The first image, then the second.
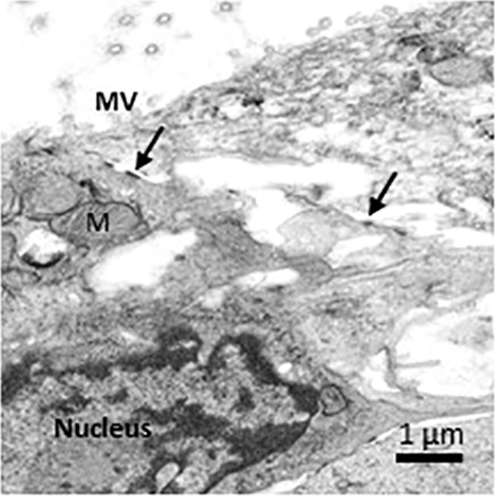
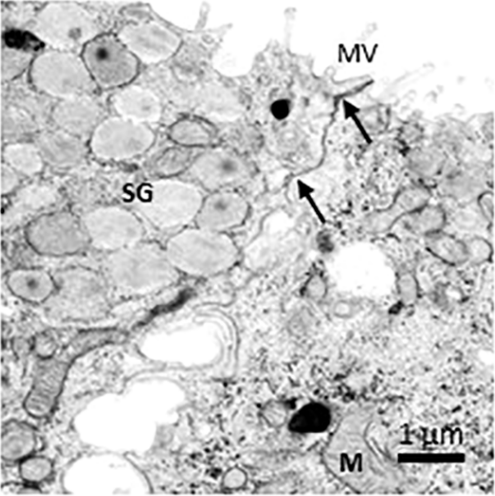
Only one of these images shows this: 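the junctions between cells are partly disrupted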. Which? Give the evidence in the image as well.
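The first image. Second image: the arrows mark a continuous dark line where neighbouring membranes lie close together. First image: the arrows point to places where wide pale gaps open between neighbouring cells.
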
